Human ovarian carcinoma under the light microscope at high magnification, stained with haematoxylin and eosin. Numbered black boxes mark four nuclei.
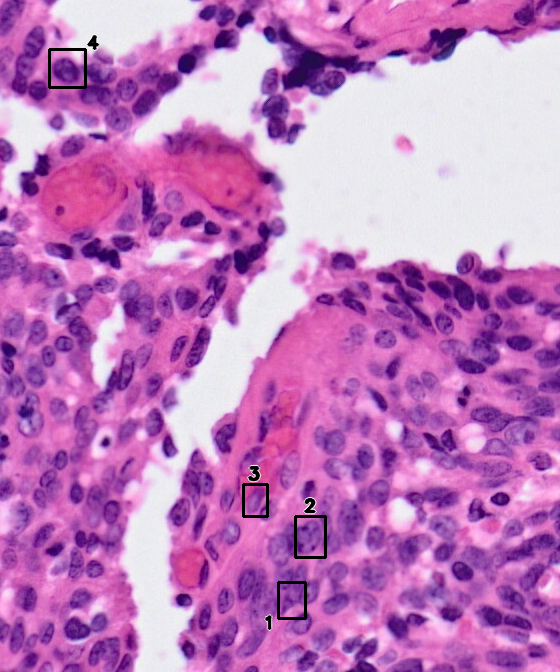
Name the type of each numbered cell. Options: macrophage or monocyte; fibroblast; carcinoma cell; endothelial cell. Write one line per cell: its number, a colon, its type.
1: carcinoma cell
2: carcinoma cell
3: endothelial cell
4: carcinoma cell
